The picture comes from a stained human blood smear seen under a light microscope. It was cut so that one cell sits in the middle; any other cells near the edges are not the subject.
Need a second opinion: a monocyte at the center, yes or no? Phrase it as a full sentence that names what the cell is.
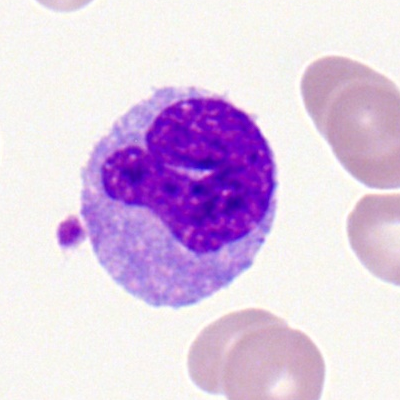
Yes, as regards the cell in the middle, it is a monocyte.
